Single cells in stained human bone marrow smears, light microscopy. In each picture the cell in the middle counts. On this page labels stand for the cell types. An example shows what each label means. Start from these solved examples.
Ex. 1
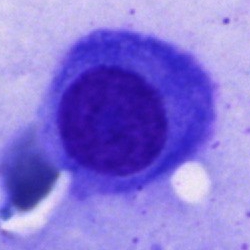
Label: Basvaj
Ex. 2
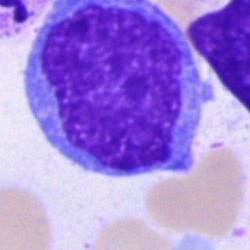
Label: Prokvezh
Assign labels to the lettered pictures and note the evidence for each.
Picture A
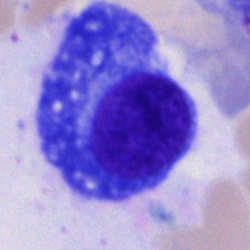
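Basvaj: The cytoplasm is plentiful and stains a deep blue.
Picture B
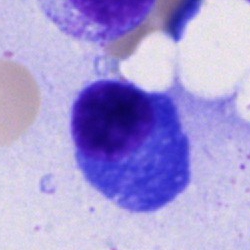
Basvaj: The cytoplasm is plentiful and spreads mainly to the lower right of the nucleus.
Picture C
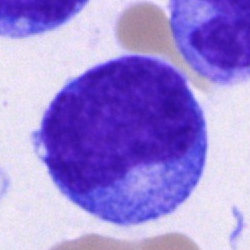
Prokvezh: The nucleus fills the upper greater part of the cell.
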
